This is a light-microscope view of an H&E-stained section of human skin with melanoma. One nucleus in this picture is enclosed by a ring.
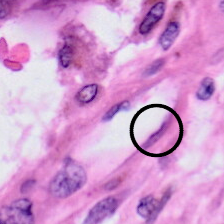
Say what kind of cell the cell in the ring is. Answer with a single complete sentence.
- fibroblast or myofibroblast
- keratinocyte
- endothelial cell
It is as an endothelial cell that the cell in the ring is recorded.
